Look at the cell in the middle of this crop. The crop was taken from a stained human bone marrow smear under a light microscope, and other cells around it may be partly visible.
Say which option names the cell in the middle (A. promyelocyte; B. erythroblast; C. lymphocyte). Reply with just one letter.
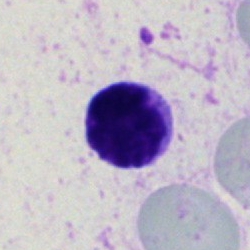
C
